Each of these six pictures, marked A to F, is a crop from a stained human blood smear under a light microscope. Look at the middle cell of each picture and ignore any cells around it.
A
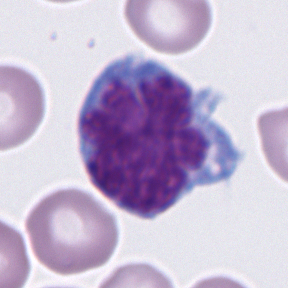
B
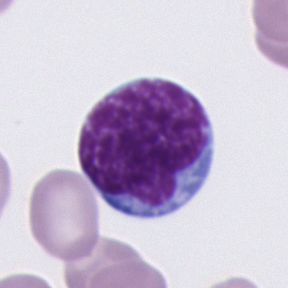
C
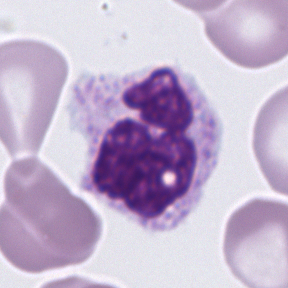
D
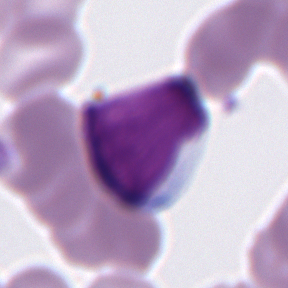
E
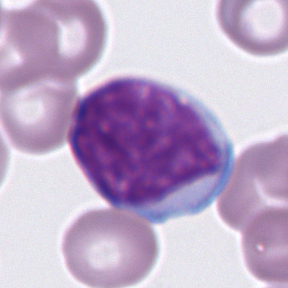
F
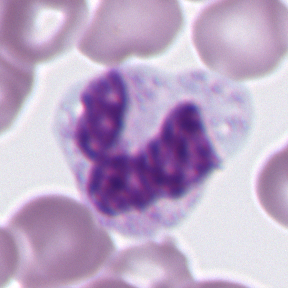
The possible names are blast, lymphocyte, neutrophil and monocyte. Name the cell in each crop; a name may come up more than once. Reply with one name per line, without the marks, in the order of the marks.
blast
lymphocyte
neutrophil
lymphocyte
blast
neutrophil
